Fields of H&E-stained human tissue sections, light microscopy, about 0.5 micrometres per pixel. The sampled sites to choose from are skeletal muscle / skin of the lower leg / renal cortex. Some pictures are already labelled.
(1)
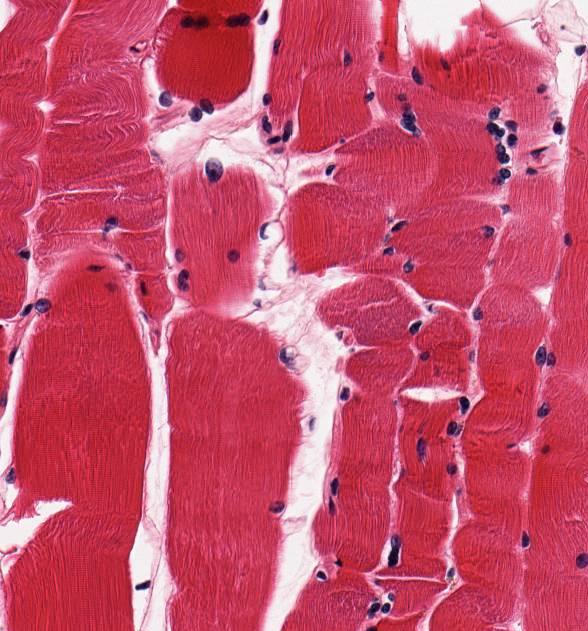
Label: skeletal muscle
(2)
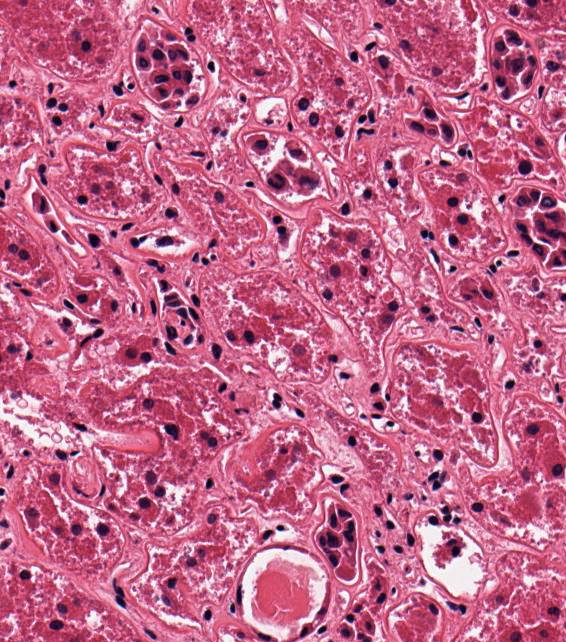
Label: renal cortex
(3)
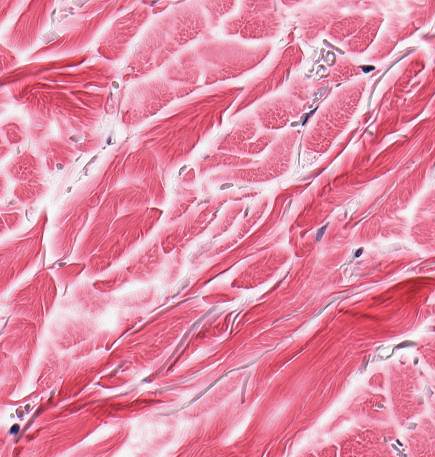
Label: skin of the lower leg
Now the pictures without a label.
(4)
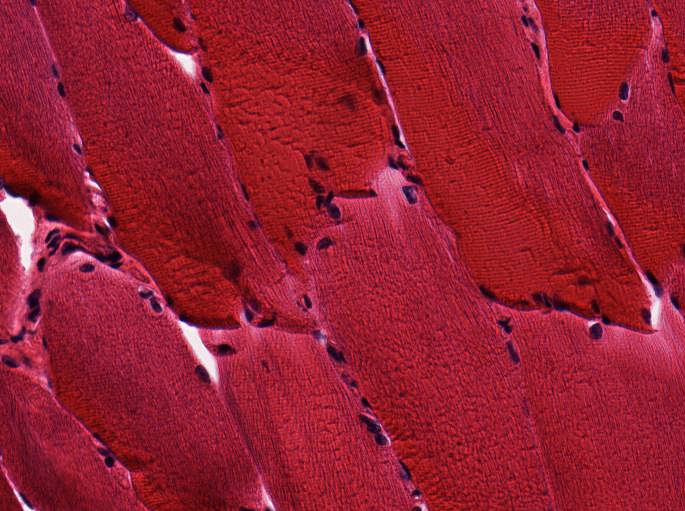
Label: skeletal muscle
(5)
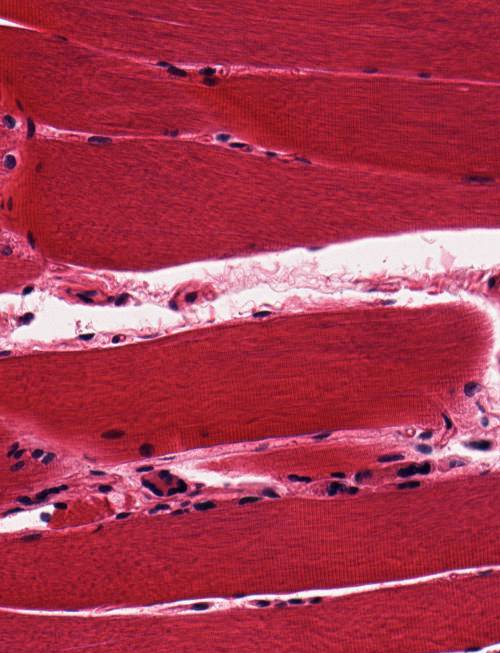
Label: skeletal muscle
